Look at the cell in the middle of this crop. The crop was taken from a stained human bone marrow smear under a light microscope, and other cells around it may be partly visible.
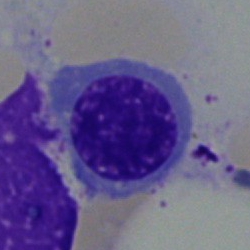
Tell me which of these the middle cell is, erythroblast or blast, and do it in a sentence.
Framed in the middle of the crop is an erythroblast.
